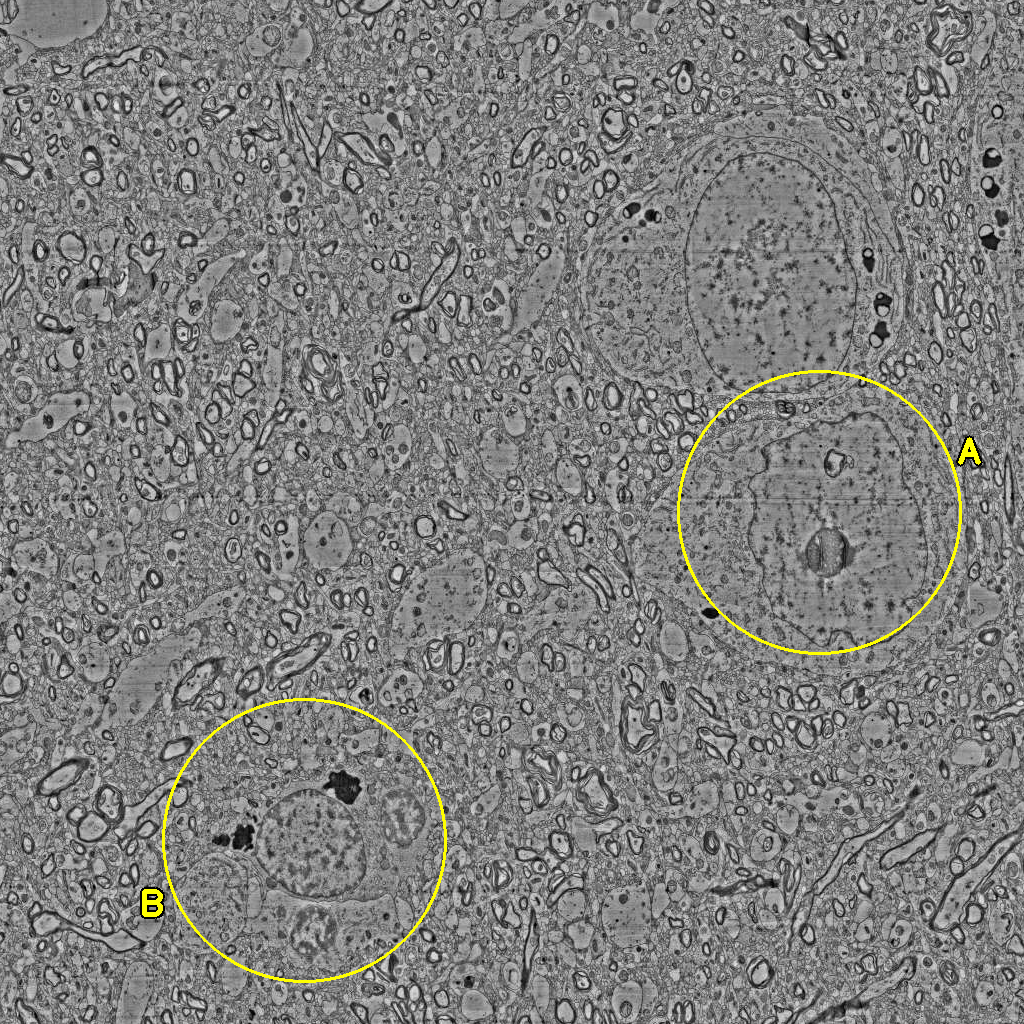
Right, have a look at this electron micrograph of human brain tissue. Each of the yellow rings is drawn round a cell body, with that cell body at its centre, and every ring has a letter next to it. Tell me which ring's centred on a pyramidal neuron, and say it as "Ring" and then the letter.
Ring A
